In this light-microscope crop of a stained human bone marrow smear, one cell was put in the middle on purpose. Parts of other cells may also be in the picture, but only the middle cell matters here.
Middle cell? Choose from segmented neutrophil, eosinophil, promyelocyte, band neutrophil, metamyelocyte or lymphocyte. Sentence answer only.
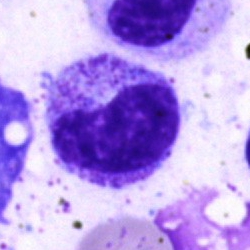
The centrally placed cell is classified as a metamyelocyte.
